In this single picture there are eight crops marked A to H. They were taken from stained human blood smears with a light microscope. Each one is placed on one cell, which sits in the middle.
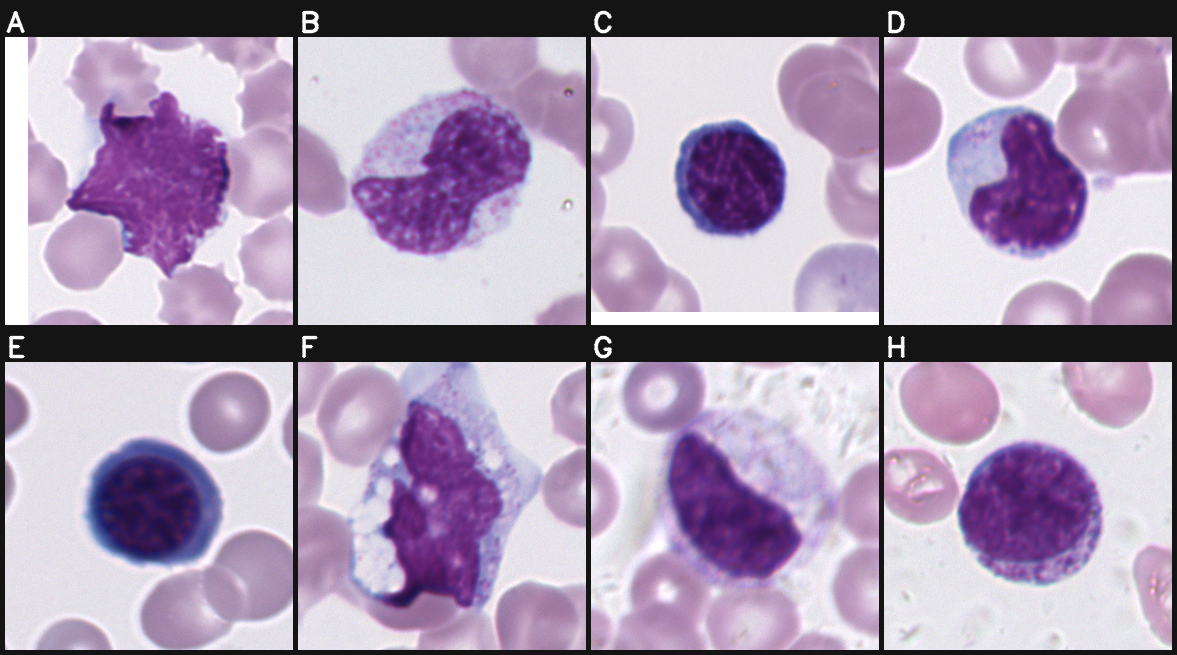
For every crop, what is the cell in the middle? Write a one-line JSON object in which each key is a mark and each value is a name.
{"A": "smudge cell", "B": "band neutrophil", "C": "erythroblast", "D": "large granular lymphocyte", "E": "erythroblast", "F": "monocyte", "G": "metamyelocyte", "H": "myelocyte"}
